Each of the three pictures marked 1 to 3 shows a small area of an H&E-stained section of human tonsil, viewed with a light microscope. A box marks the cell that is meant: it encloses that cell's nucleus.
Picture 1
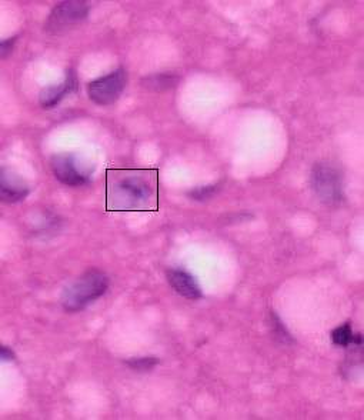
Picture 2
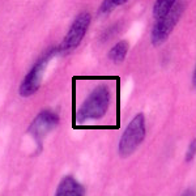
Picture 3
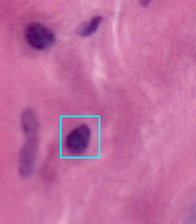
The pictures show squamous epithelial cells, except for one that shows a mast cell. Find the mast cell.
3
